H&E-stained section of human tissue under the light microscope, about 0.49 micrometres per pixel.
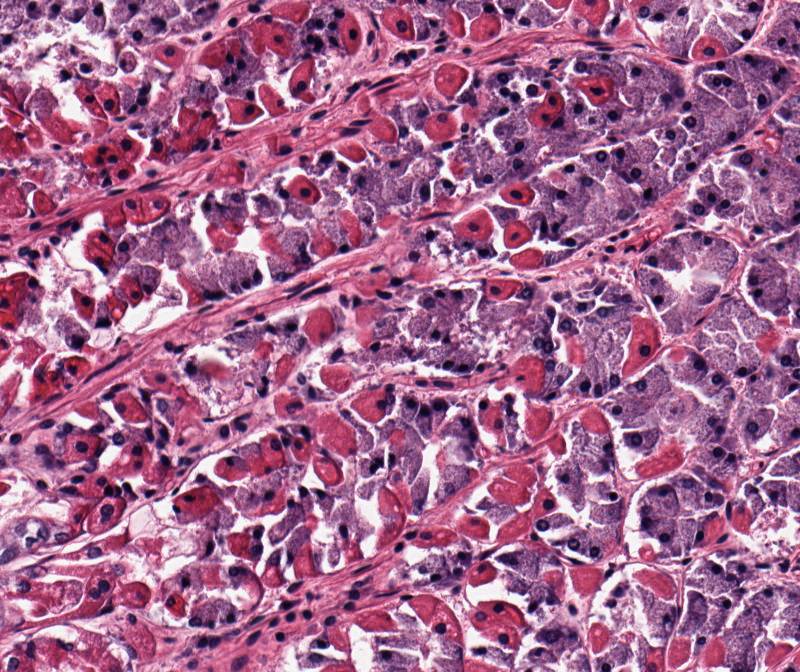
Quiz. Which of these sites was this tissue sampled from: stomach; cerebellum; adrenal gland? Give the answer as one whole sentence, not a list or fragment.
The tissue sample derives from the stomach.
